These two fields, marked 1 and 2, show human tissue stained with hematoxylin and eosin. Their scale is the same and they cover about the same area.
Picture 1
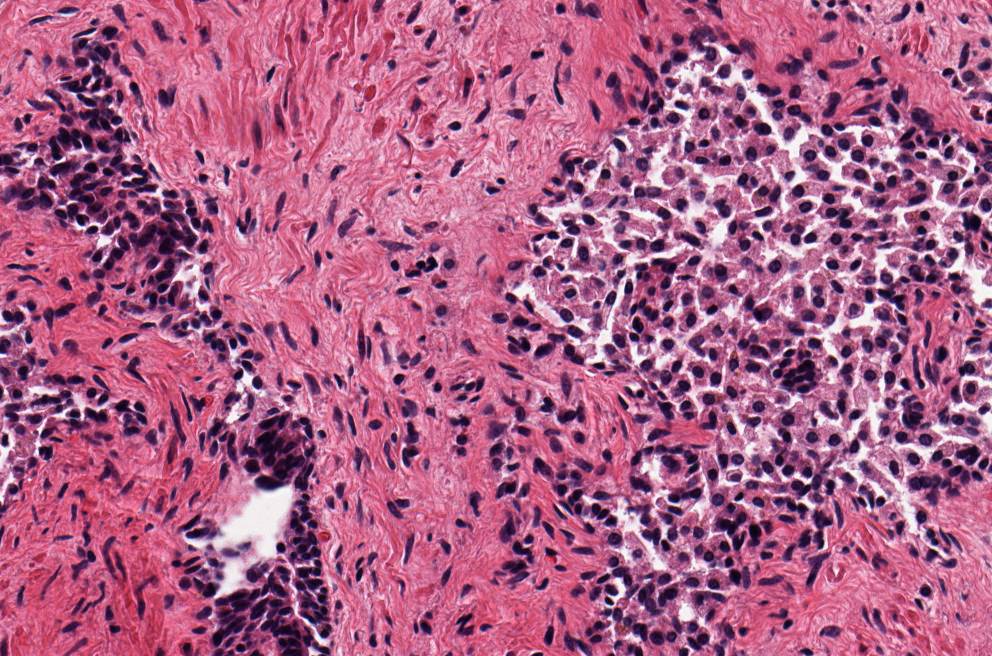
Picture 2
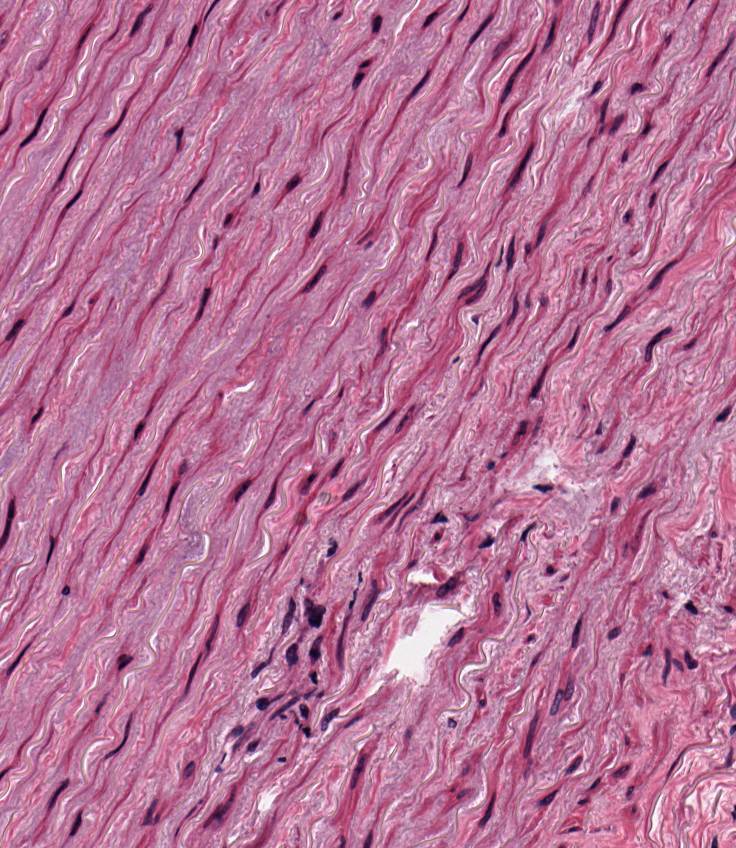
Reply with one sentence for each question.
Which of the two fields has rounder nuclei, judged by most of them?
The nuclei are rounder in picture 1.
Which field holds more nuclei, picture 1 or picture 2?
It is picture 1 that has more nuclei in it.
